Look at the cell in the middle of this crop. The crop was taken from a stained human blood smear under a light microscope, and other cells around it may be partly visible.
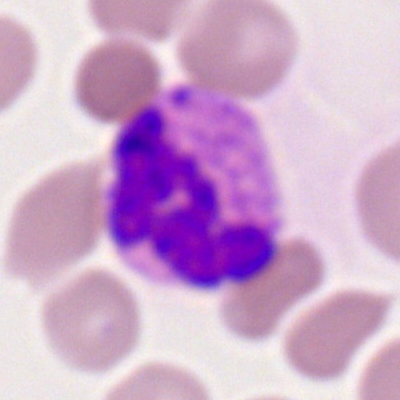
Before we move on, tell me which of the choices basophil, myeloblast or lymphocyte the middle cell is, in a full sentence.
The cell featured at the centre of this crop is a basophil.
